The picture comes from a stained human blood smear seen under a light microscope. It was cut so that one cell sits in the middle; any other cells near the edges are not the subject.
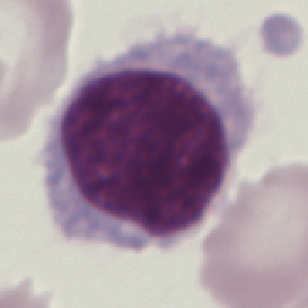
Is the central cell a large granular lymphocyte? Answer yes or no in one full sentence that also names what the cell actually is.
No, rather than being a large granular lymphocyte, the central cell is a hairy cell.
